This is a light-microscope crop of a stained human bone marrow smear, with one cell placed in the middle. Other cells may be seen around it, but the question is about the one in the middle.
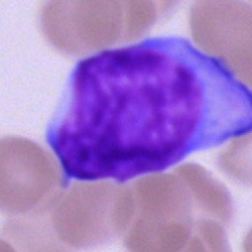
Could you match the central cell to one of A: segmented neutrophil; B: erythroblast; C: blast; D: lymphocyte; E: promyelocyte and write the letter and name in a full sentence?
The correct option is C, as the central cell is a blast.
